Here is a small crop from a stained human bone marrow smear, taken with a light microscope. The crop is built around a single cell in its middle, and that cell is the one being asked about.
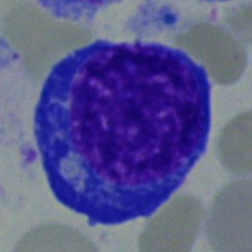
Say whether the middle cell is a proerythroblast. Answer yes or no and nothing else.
yes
